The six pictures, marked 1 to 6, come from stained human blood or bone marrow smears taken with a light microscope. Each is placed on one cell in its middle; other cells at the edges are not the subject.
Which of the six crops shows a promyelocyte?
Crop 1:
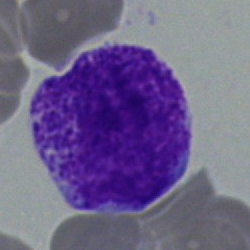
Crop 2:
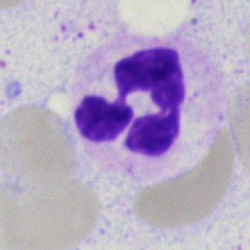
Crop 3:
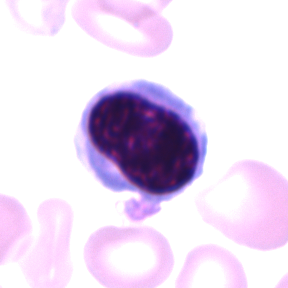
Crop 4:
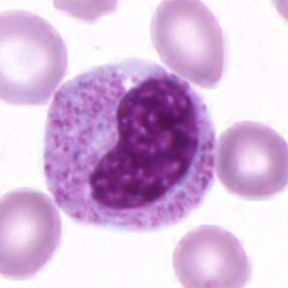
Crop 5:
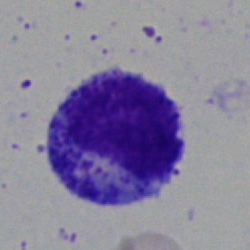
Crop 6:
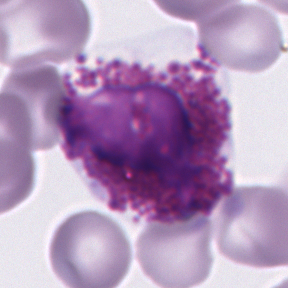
5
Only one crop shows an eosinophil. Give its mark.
6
